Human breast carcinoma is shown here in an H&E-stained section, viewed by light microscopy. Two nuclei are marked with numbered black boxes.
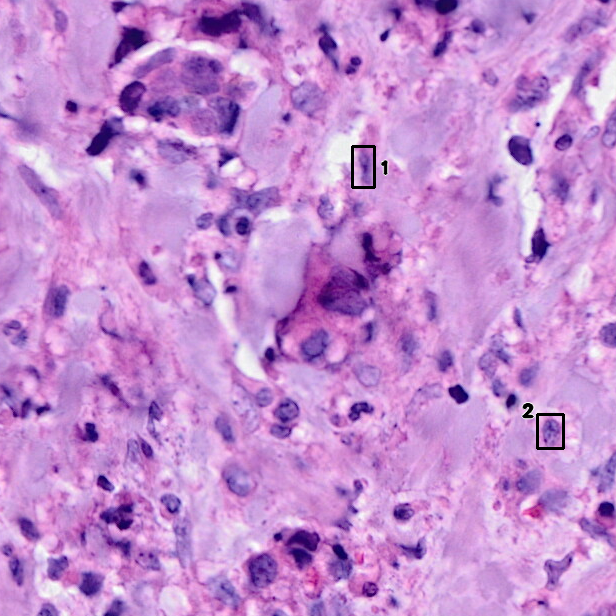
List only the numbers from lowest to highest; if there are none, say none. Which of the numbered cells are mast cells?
2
